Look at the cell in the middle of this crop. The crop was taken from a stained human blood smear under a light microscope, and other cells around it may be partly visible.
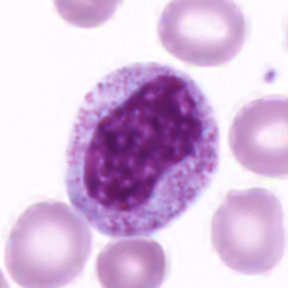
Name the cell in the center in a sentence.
This crop is built around a metamyelocyte at its centre.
